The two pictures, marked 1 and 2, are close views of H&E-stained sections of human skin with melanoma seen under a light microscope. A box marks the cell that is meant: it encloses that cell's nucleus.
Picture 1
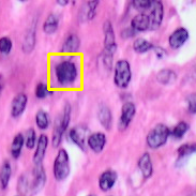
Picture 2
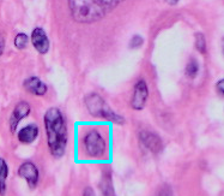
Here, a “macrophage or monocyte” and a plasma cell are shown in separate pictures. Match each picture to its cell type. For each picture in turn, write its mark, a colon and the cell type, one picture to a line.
1: plasma cell
2: macrophage or monocyte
